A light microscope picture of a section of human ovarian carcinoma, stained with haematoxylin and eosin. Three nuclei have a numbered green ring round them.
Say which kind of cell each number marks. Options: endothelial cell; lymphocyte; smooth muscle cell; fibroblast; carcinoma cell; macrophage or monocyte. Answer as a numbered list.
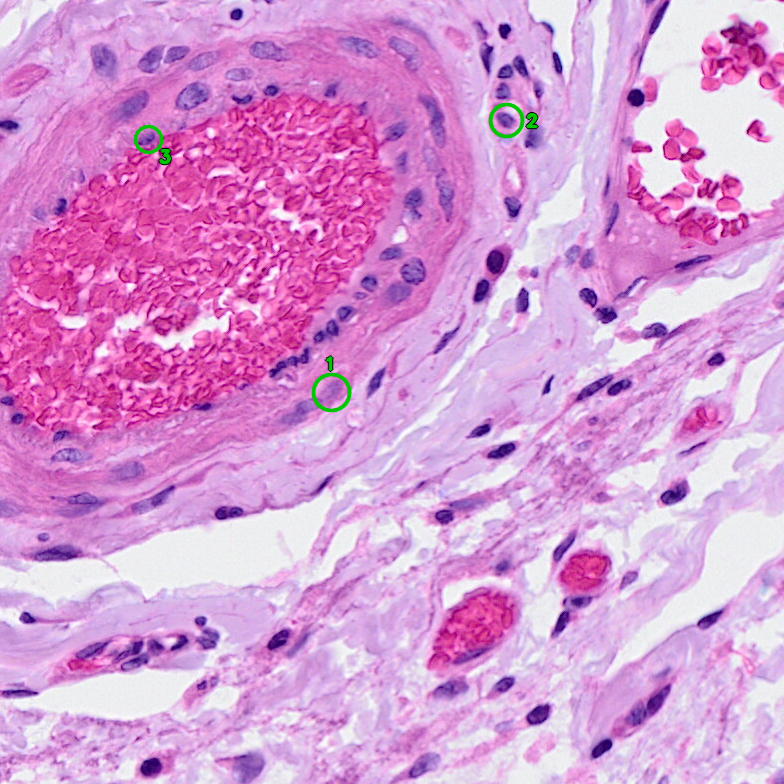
1. smooth muscle cell
2. endothelial cell
3. endothelial cell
